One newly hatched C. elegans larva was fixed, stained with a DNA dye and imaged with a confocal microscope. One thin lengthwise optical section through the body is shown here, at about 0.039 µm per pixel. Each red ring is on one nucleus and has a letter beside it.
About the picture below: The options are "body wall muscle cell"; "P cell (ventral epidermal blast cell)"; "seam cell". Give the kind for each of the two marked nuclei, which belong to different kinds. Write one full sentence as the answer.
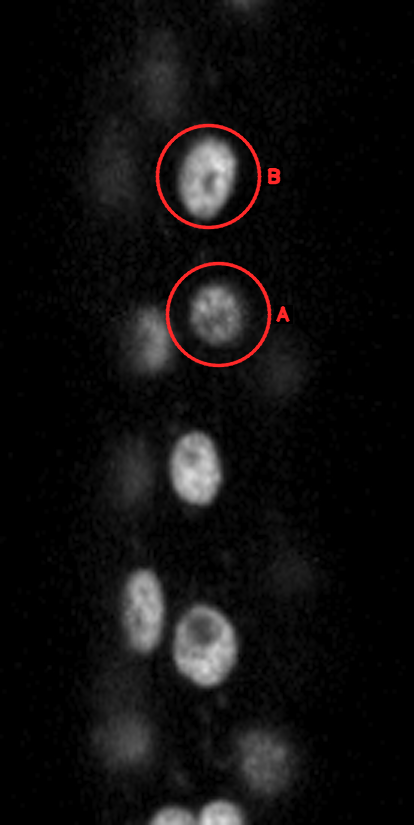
B belongs to a P cell (ventral epidermal blast cell), and A to a seam cell.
